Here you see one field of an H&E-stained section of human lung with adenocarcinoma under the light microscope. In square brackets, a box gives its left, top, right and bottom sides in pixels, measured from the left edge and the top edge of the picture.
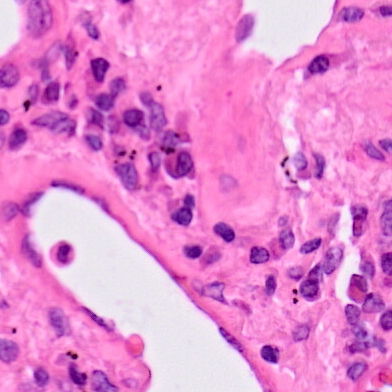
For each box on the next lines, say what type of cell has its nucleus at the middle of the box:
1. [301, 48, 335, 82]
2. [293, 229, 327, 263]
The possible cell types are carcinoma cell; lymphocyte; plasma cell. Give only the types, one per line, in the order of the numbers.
plasma cell
lymphocyte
